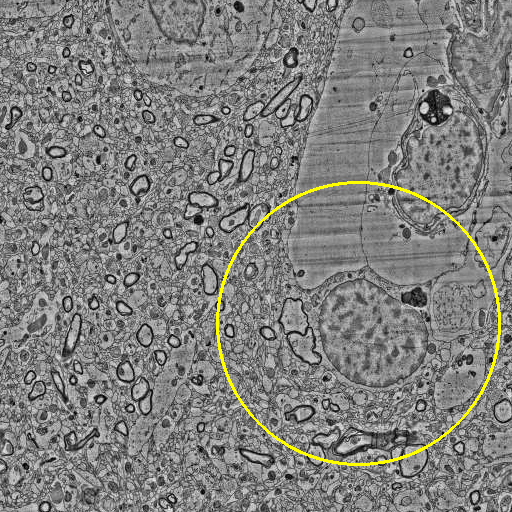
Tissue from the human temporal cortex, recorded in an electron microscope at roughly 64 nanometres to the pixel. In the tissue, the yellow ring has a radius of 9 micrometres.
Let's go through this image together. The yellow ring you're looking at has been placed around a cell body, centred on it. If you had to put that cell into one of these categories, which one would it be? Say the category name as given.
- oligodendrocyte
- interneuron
oligodendrocyte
